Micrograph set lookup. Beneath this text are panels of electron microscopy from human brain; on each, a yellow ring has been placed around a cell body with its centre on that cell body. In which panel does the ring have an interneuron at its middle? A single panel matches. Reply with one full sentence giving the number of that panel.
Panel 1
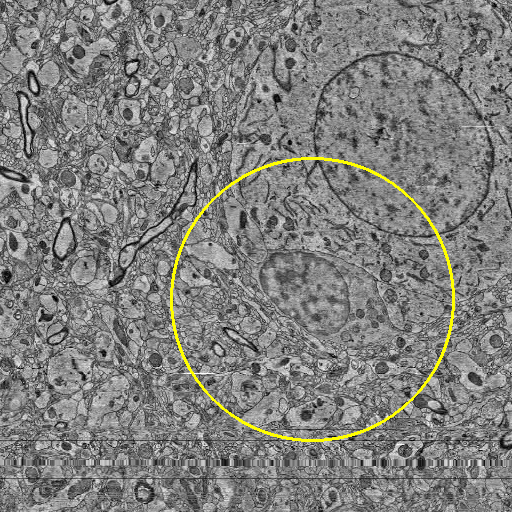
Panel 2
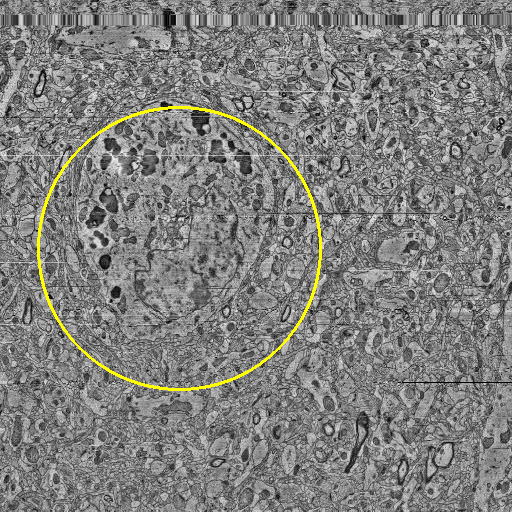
Panel 2 is the one whose ring has the sought cell at its centre.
